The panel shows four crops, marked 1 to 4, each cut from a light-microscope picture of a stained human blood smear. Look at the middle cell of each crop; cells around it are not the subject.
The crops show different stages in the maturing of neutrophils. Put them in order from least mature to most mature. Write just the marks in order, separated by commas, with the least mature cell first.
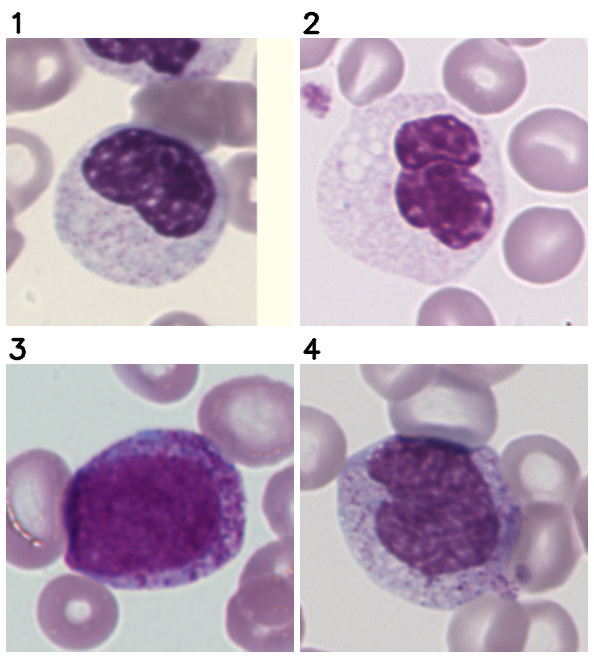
3, 4, 1, 2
